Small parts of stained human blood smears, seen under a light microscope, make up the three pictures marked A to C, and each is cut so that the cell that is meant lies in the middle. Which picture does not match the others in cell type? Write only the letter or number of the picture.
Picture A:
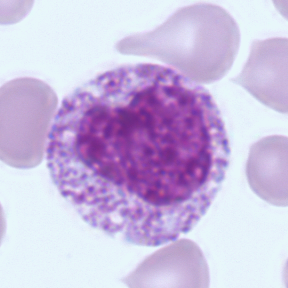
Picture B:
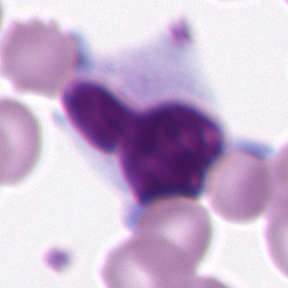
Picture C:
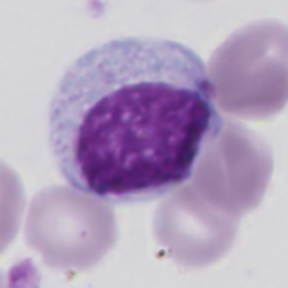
B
